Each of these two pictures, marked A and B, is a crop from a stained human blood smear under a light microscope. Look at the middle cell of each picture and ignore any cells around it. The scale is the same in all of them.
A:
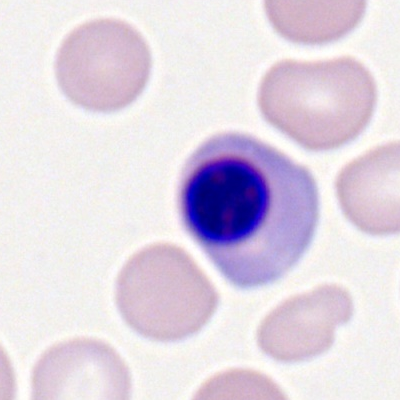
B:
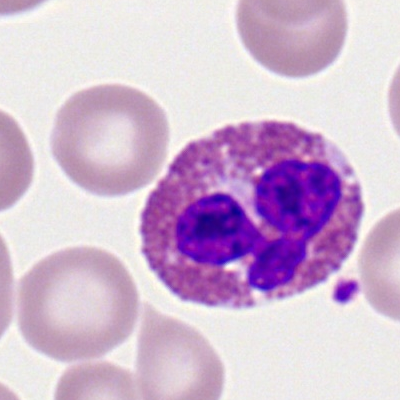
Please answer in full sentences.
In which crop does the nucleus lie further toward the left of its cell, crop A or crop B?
In crop A the nucleus is shifted more toward the left.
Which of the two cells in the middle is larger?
It is the cell in crop B, about 2 times as large in area as the cell in crop A.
